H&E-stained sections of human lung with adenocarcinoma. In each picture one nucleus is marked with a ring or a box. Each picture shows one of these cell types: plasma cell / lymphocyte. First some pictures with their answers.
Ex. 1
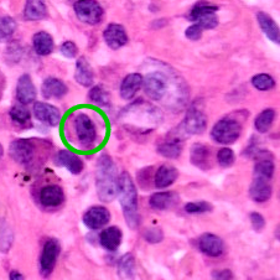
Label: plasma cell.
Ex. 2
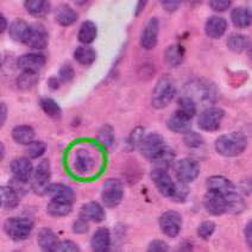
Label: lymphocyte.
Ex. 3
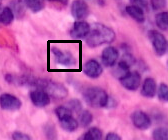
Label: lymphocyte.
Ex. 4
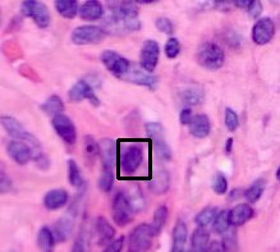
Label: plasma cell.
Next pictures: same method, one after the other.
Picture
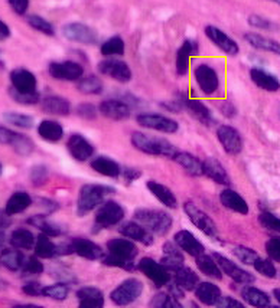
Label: plasma cell.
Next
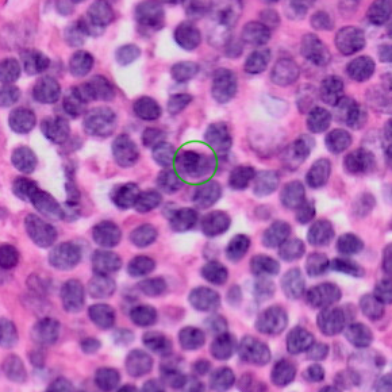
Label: lymphocyte.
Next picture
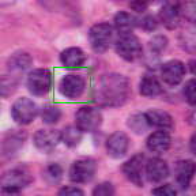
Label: lymphocyte.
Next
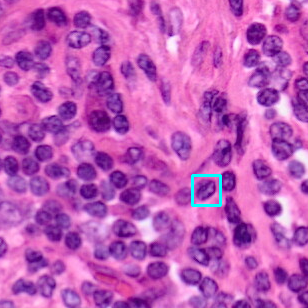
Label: lymphocyte.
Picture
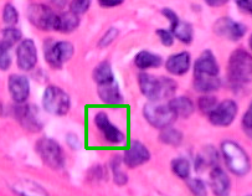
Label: lymphocyte.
